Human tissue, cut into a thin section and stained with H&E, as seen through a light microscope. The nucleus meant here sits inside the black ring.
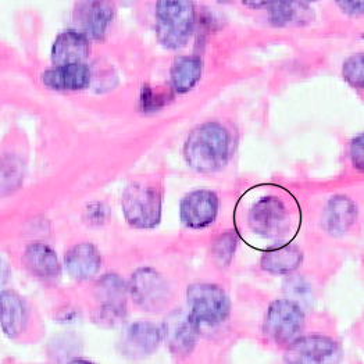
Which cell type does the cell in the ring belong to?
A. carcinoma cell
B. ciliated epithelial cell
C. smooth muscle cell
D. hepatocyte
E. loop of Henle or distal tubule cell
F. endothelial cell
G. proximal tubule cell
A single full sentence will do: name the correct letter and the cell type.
The correct option here, A, identifies the cell in the ring as a carcinoma cell.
